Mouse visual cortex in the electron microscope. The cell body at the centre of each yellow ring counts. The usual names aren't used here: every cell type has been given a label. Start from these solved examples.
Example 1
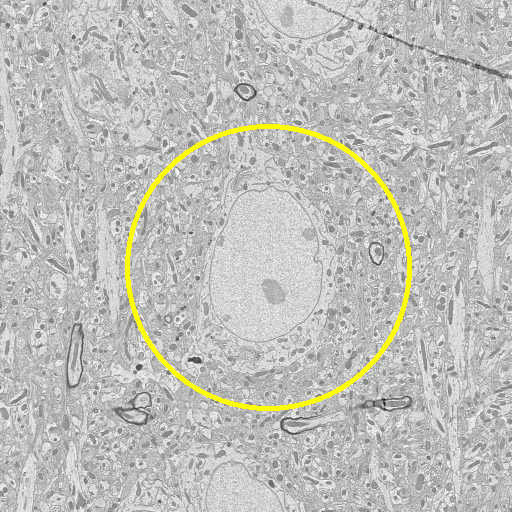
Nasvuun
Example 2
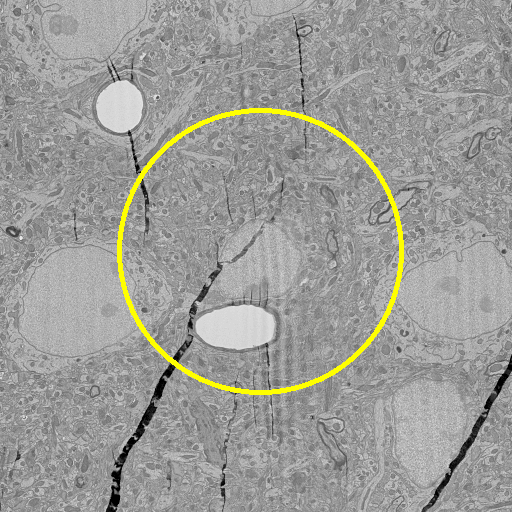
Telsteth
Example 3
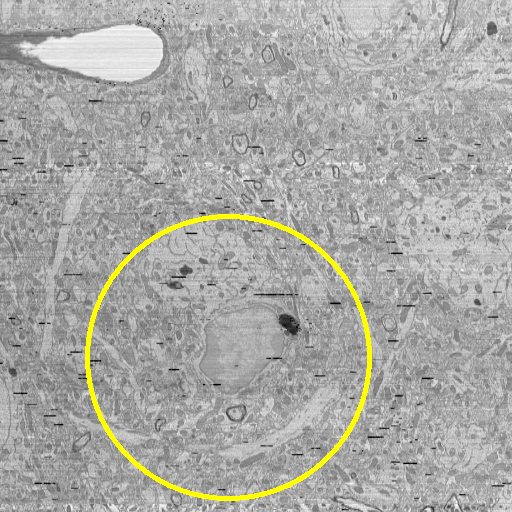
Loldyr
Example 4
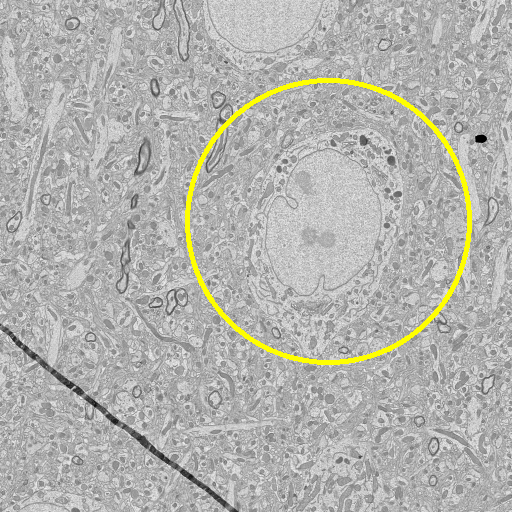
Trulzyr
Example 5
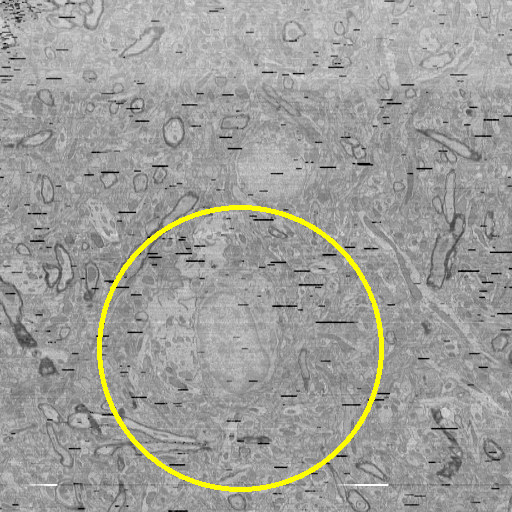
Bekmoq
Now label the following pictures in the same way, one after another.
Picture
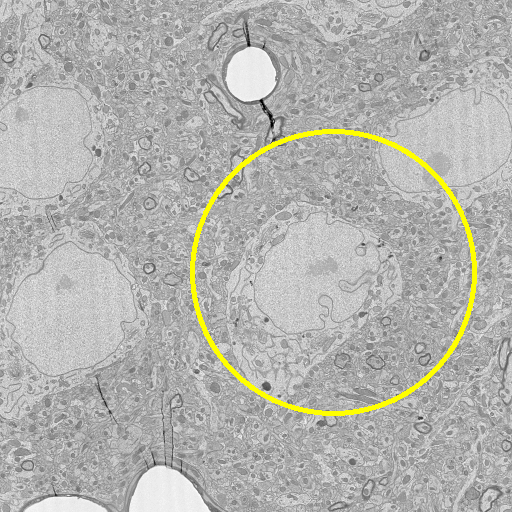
Trulzyr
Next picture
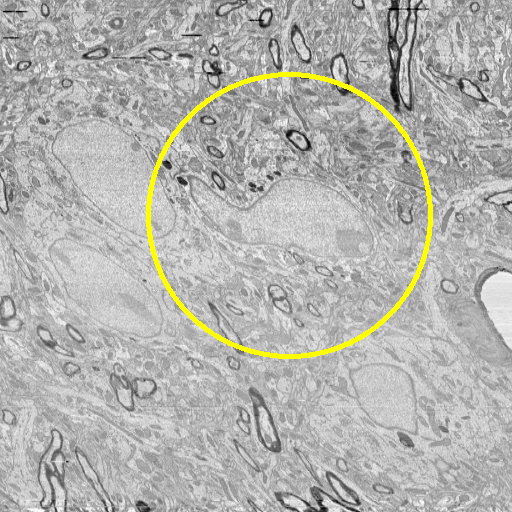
Telsteth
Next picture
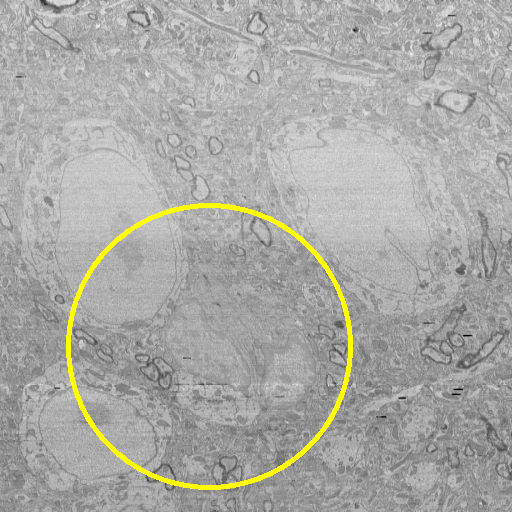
Loldyr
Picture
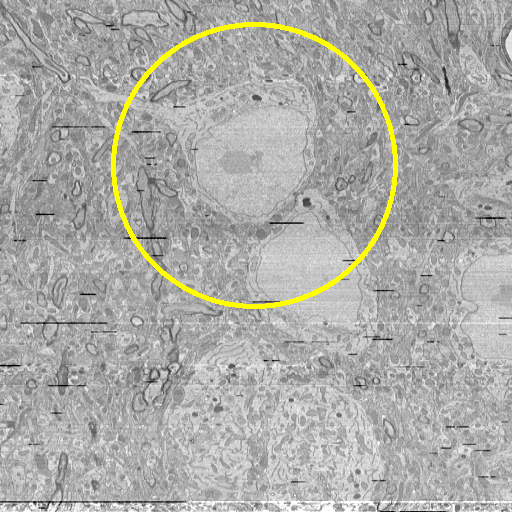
Trulzyr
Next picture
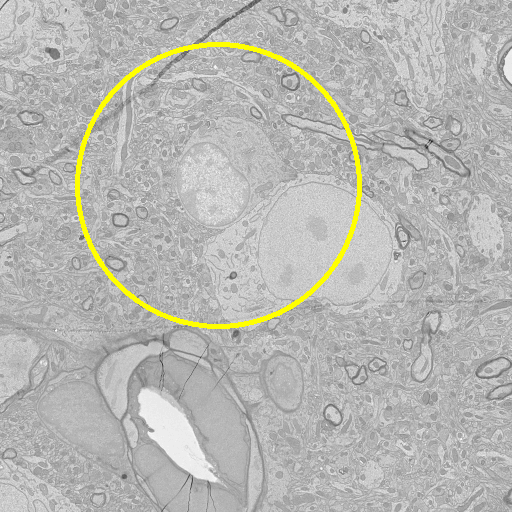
Bekmoq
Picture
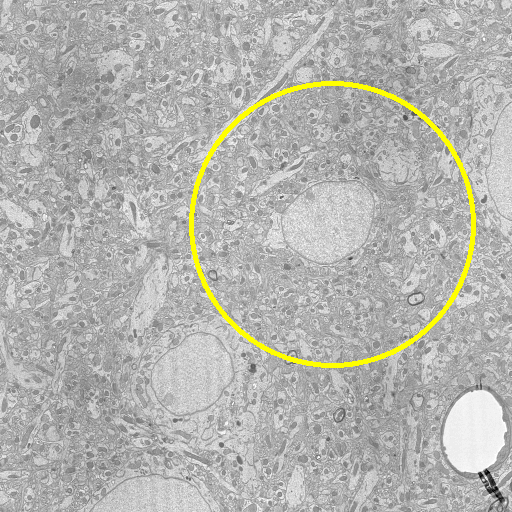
Telsteth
